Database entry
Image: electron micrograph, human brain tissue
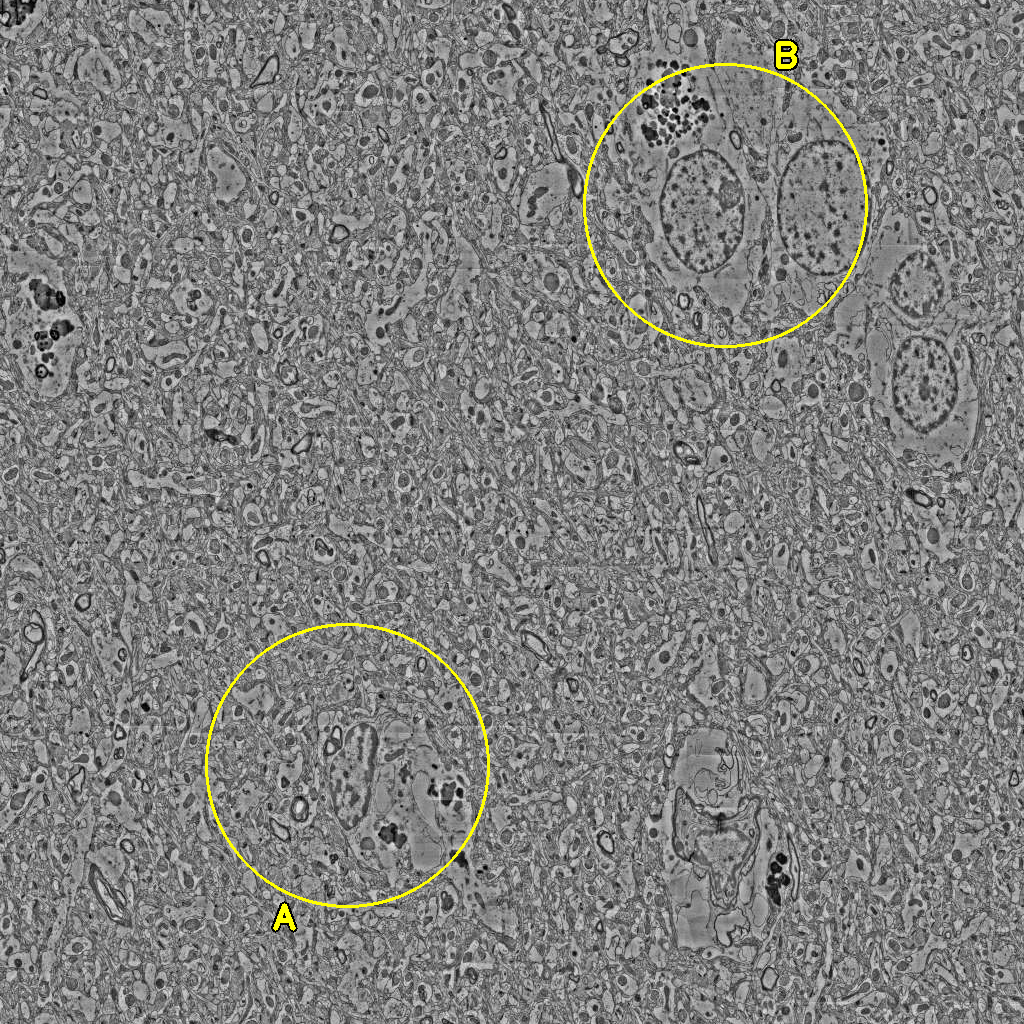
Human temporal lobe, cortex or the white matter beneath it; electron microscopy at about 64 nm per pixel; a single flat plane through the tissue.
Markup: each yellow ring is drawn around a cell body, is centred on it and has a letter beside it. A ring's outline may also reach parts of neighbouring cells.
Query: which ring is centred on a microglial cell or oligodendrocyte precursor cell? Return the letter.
A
